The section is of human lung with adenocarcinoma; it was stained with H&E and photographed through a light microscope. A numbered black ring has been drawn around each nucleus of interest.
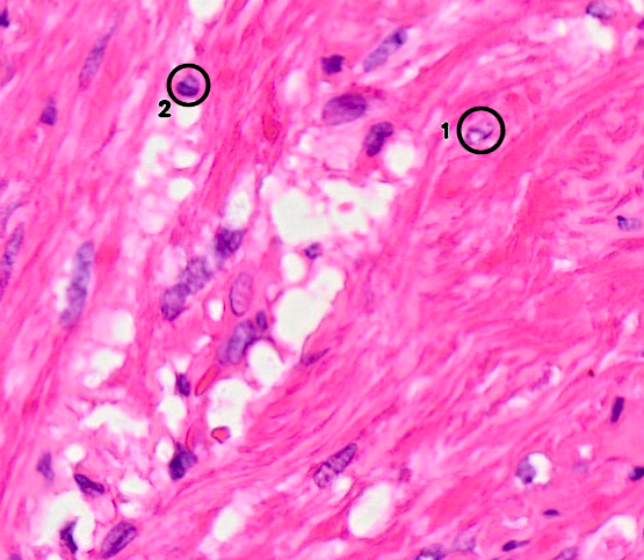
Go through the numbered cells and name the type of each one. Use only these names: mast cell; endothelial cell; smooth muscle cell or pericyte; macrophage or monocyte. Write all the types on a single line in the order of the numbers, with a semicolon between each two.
smooth muscle cell or pericyte; mast cell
